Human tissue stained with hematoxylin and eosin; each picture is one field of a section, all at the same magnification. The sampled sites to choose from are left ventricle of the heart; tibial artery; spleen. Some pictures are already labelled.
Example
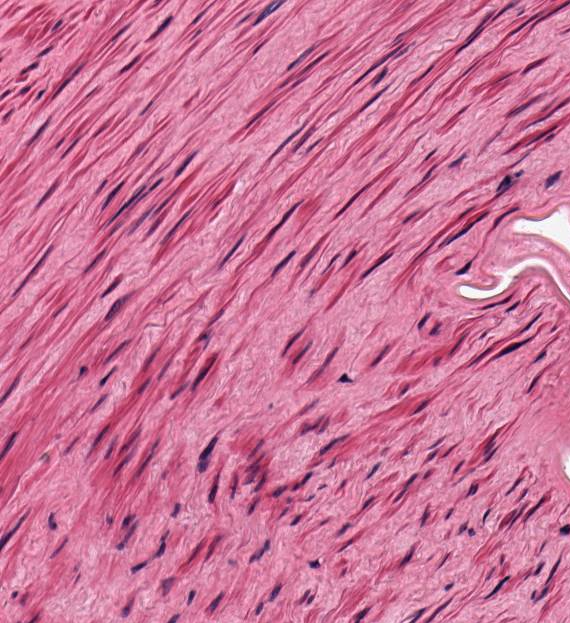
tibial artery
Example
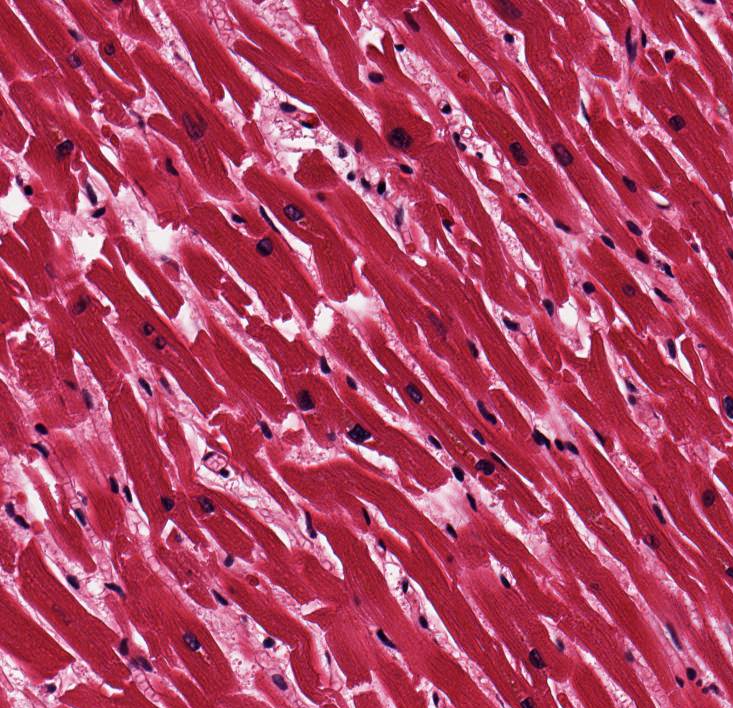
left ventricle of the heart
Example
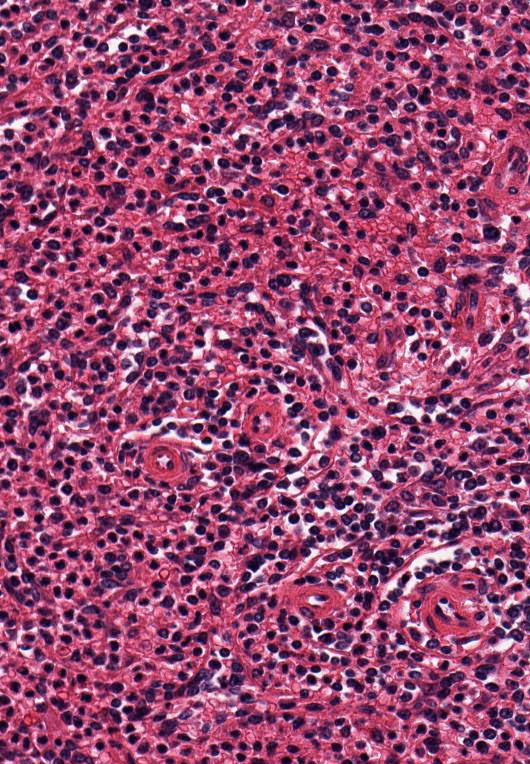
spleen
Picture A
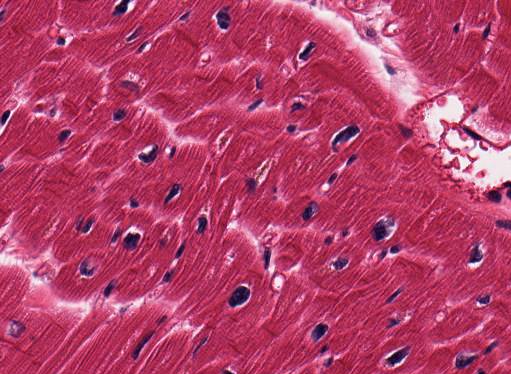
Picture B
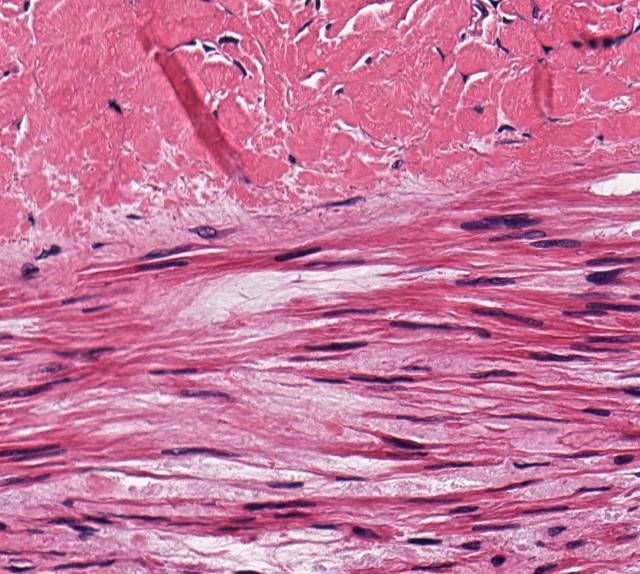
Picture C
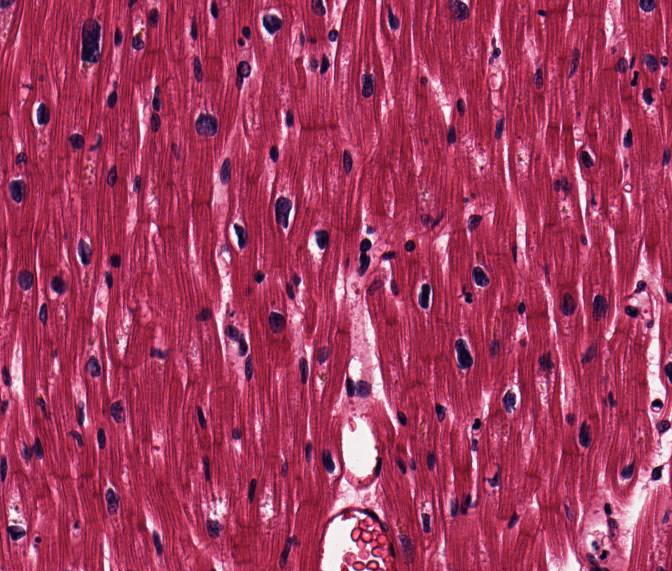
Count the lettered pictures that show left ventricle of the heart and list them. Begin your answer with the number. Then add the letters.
2: A, C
